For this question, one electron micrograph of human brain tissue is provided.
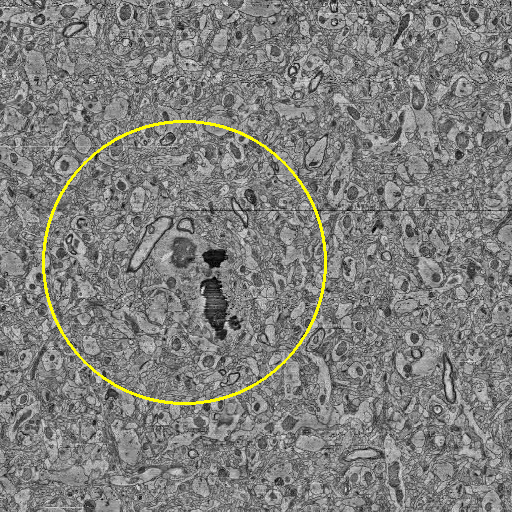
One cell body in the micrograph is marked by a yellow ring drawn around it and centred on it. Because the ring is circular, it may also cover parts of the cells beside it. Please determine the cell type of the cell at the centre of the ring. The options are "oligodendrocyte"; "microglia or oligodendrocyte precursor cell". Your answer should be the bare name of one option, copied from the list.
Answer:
oligodendrocyte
